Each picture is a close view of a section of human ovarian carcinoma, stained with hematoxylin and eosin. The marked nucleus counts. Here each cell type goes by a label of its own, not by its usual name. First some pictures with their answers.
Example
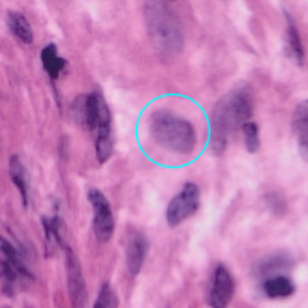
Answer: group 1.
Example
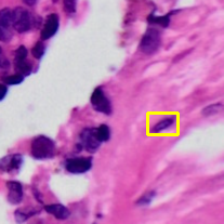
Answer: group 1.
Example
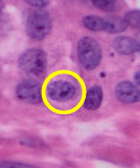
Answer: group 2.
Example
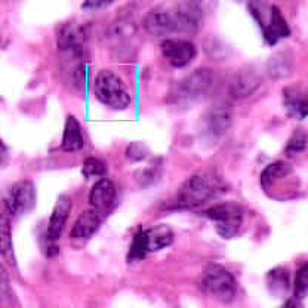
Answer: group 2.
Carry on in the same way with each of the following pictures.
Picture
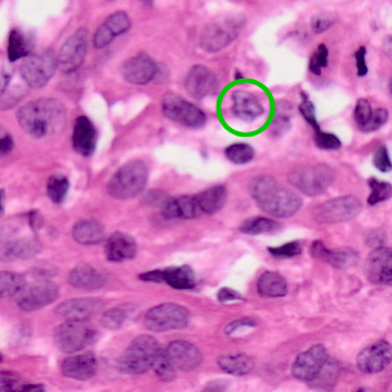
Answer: group 2.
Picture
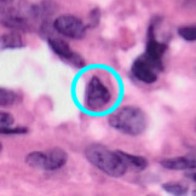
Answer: group 2.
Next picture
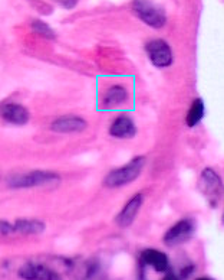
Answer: group 1.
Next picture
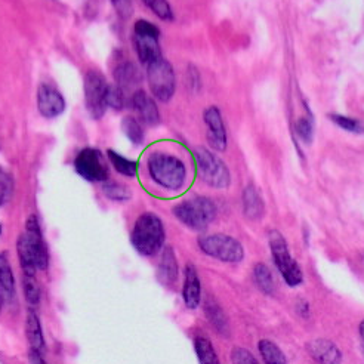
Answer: group 2.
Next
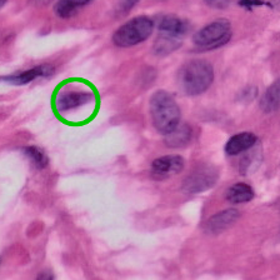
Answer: group 1.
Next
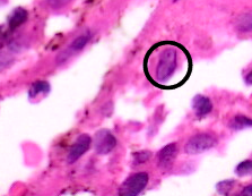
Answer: group 2.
